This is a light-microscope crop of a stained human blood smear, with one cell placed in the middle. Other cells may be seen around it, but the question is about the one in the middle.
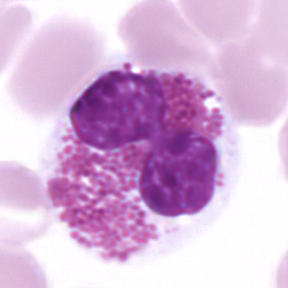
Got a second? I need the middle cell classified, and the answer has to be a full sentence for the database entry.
The identification for the central cell is an eosinophil.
